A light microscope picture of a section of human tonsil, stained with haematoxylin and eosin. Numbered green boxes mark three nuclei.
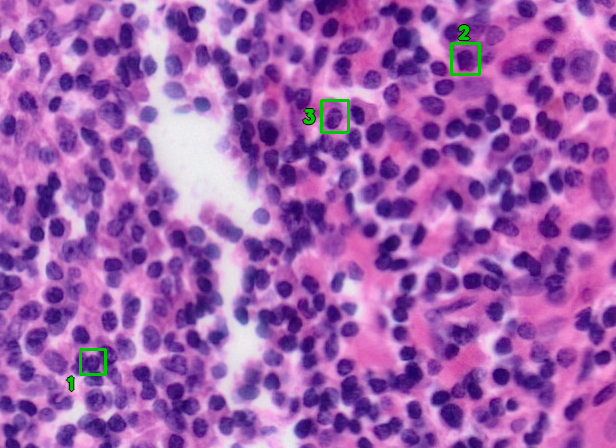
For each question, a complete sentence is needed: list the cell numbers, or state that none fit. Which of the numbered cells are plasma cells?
In contrast to the remaining marked cells, cell 3 is a plasma cell.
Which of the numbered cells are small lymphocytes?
Among the numbered cells, the one that is a small lymphocyte is cell 1 alone.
